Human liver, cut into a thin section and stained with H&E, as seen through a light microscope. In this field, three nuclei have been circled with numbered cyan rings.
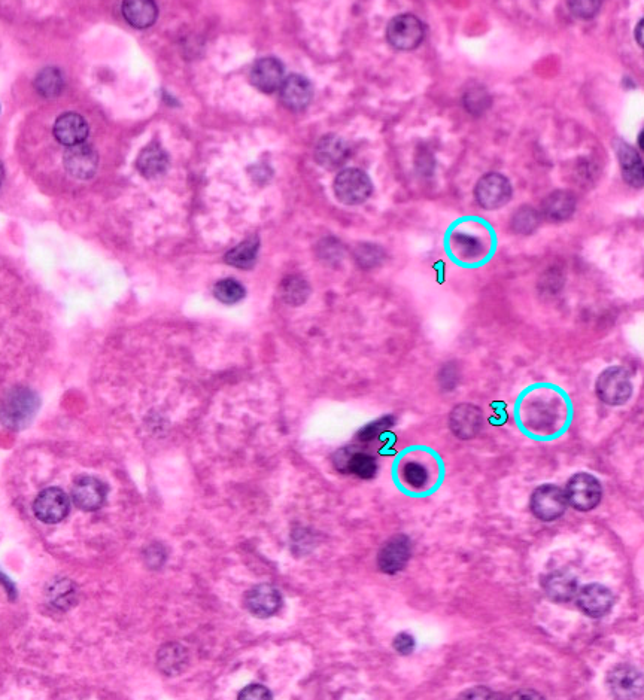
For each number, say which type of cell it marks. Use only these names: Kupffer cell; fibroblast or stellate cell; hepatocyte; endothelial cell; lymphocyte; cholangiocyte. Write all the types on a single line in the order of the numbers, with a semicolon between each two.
endothelial cell; lymphocyte; hepatocyte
